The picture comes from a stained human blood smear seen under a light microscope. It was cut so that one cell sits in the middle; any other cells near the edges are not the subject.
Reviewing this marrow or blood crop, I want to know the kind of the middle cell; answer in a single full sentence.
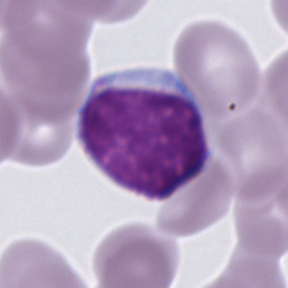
In the central position of this crop, the cell is a large granular lymphocyte.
